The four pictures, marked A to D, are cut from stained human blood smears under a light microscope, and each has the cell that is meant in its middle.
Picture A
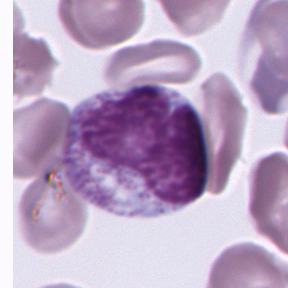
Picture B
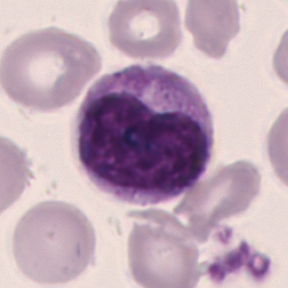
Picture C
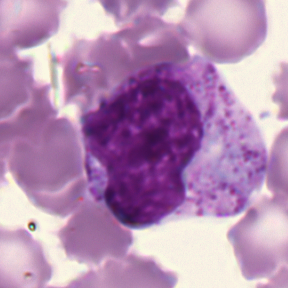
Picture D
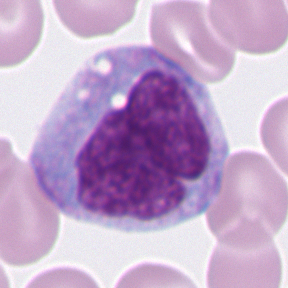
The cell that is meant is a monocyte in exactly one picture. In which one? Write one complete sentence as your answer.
Picture D is the one that shows the monocyte.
